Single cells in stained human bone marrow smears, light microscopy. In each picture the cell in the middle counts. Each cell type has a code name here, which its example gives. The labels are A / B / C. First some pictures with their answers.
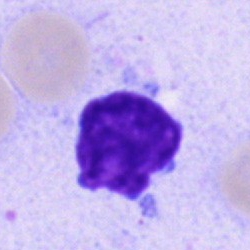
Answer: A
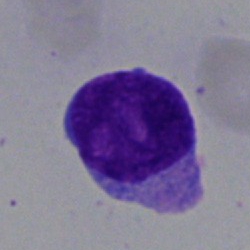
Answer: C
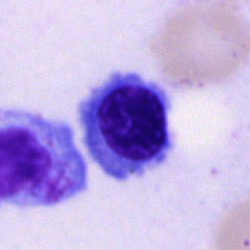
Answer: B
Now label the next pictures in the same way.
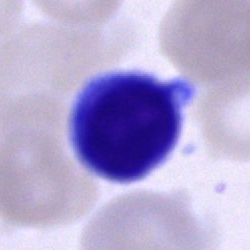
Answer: A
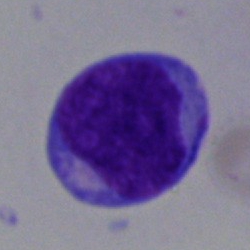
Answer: C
